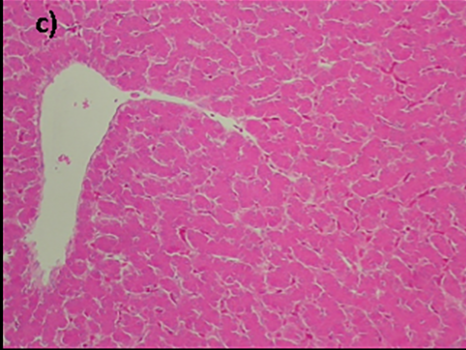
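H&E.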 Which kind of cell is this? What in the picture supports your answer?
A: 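Hepatocyte. Polygonal cells with pink cytoplasm fill most of the field. The cells are arranged in plates separated by narrow pale spaces.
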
